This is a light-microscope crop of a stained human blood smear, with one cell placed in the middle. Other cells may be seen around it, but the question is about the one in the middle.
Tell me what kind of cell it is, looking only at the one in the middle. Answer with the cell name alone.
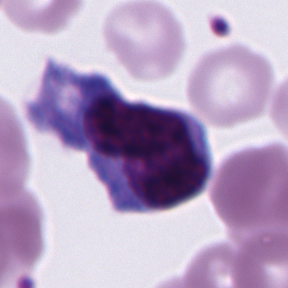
monocyte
